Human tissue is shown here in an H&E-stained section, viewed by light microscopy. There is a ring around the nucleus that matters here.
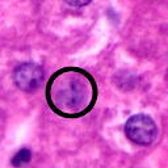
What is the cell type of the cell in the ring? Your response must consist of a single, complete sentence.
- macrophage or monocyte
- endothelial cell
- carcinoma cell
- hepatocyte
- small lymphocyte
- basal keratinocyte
In the tissue under study, the cell in the ring is a hepatocyte.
